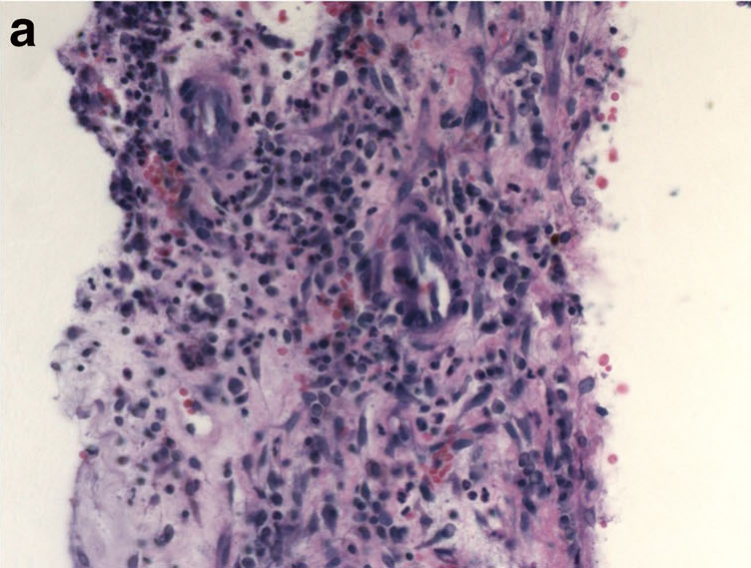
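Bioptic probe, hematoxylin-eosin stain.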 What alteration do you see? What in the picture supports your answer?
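The tissue is densely packed with many small cells with round, dark purple nuclei. Scattered red blood cells lie between the cells.
Answer: inflammatory tissue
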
